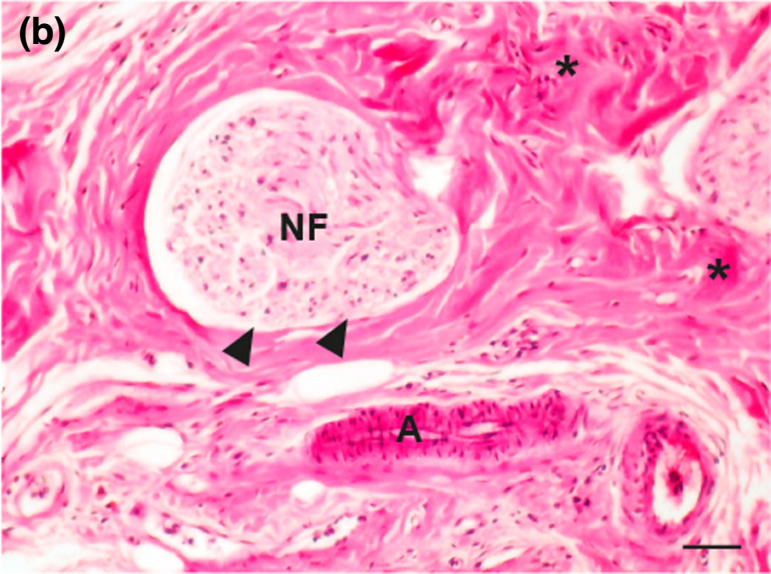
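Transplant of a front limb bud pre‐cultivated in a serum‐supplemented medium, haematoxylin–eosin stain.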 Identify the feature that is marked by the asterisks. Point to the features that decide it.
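Collagen fibres. The asterisks lie on dense, deeply pink, wavy fibrous material with few nuclei.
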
